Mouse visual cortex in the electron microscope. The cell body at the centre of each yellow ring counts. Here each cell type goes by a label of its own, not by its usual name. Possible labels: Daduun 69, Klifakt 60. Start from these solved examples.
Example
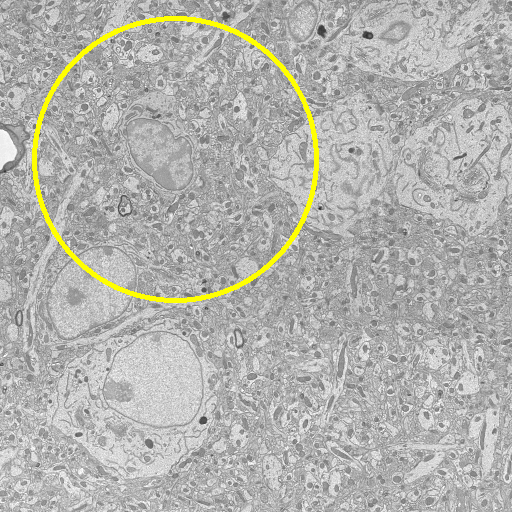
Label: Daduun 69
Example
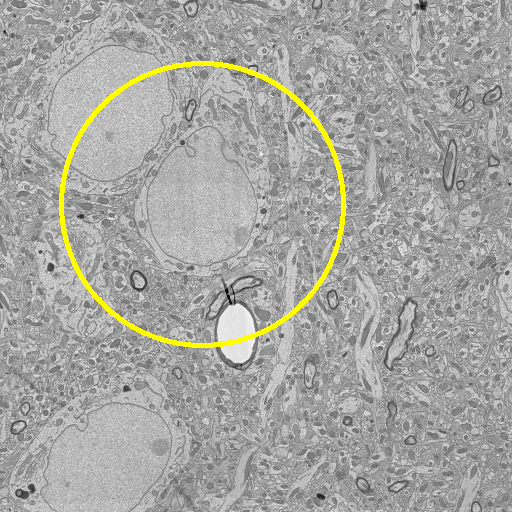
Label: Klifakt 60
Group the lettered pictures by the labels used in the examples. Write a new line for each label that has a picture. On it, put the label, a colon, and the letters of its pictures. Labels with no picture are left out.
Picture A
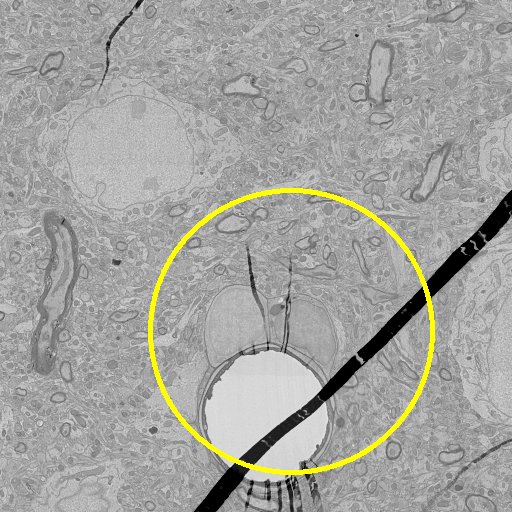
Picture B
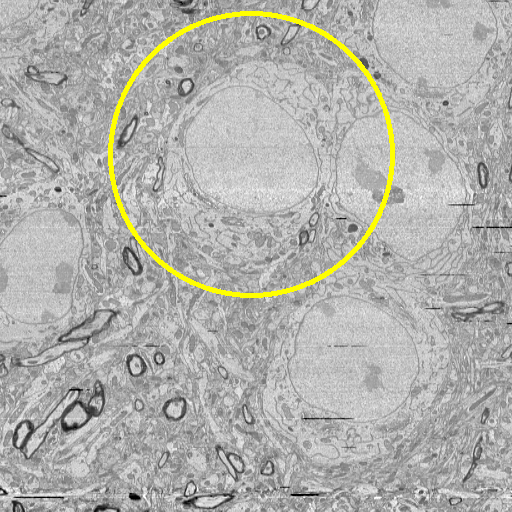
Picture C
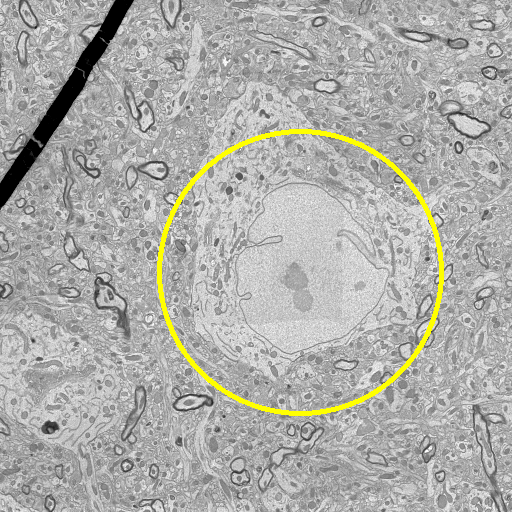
Daduun 69: A
Klifakt 60: B, C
